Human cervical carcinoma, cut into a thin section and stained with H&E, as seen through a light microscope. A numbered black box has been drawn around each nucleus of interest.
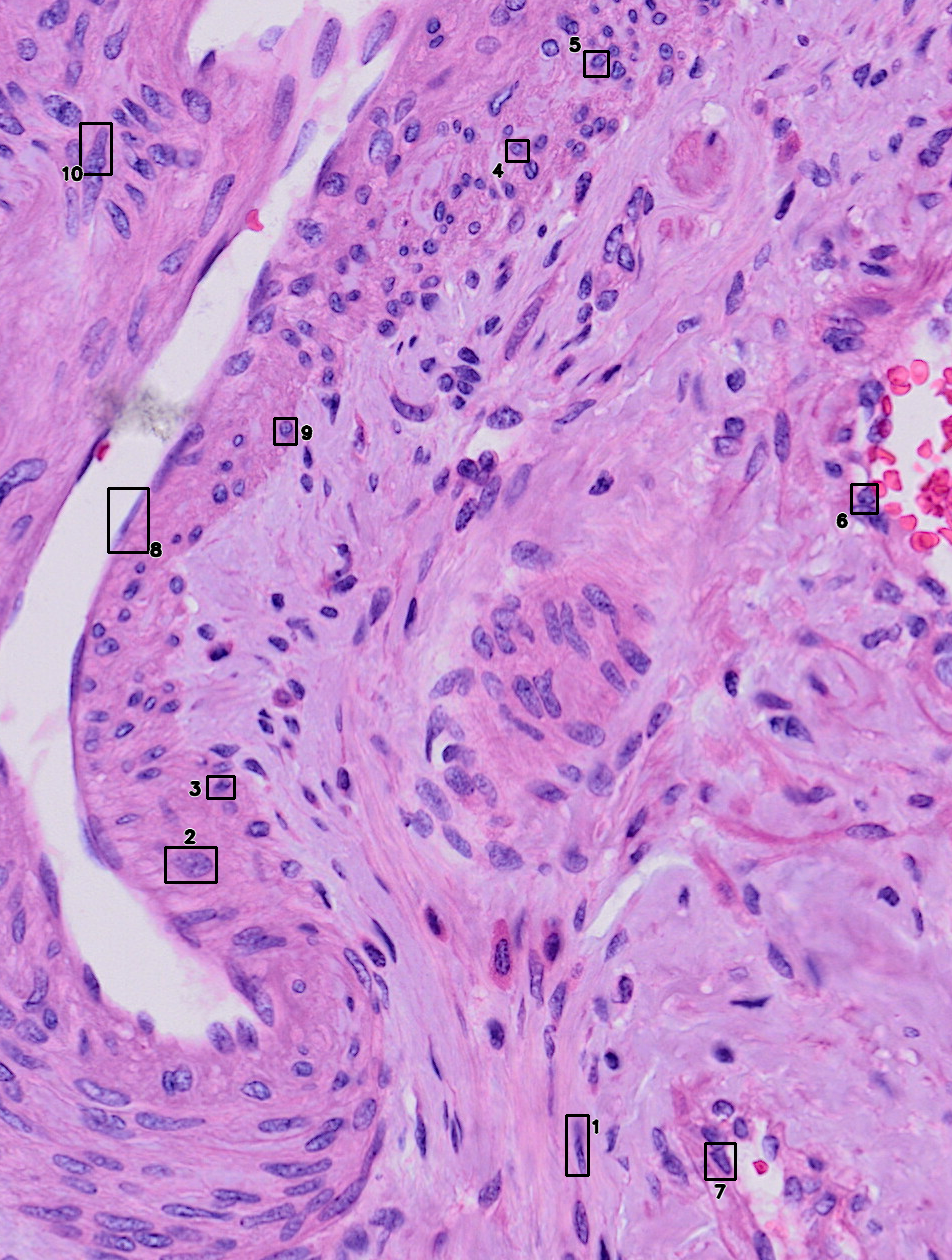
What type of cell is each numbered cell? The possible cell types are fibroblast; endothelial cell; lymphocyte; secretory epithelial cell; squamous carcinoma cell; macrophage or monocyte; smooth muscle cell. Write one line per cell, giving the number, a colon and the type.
1: fibroblast
2: smooth muscle cell
3: smooth muscle cell
4: smooth muscle cell
5: smooth muscle cell
6: endothelial cell
7: endothelial cell
8: endothelial cell
9: smooth muscle cell
10: smooth muscle cell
